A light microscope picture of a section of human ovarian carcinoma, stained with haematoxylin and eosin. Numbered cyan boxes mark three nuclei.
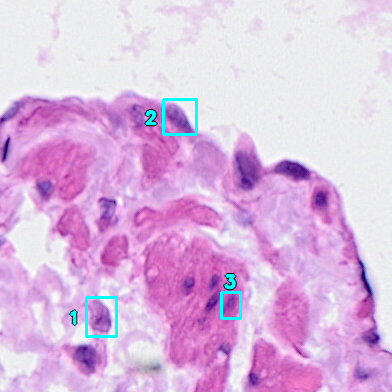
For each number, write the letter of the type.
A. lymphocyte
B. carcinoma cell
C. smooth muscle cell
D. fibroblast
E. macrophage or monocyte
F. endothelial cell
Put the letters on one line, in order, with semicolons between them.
D; F; C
